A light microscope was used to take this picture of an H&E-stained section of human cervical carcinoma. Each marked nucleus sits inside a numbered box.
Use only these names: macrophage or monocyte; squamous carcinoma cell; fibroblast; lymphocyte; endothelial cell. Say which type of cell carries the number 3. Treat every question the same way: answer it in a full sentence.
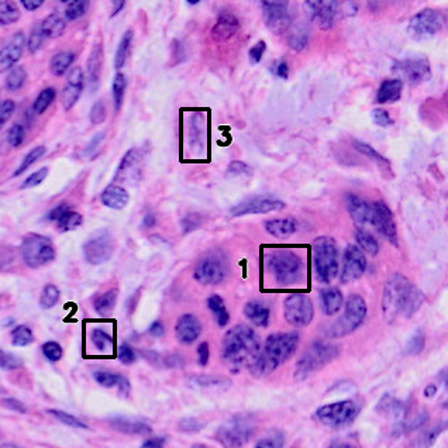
The cell with the number 3 is a fibroblast.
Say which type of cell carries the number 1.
The cell pointed out as number 1 is a squamous carcinoma cell.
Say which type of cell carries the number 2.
The marked cell with the number 2 is recognised as a lymphocyte.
